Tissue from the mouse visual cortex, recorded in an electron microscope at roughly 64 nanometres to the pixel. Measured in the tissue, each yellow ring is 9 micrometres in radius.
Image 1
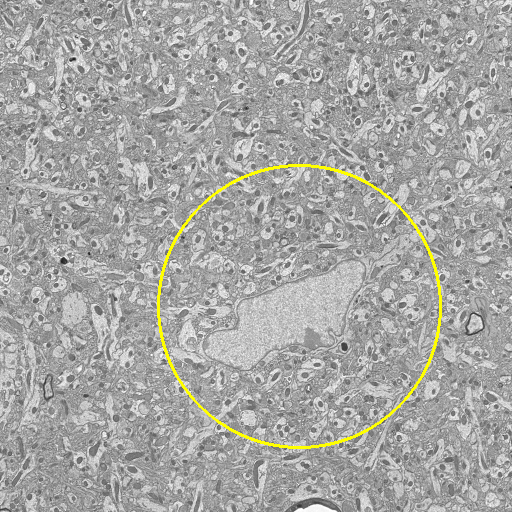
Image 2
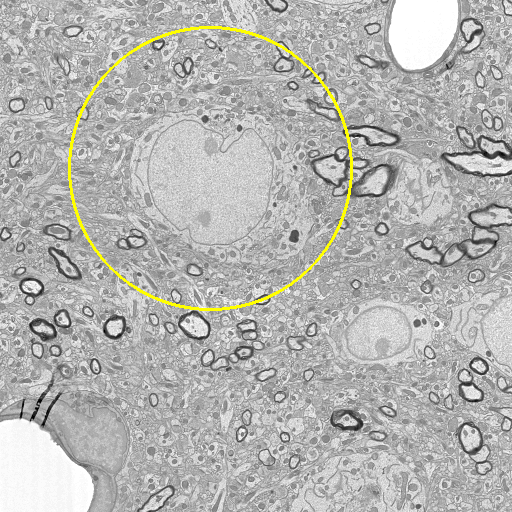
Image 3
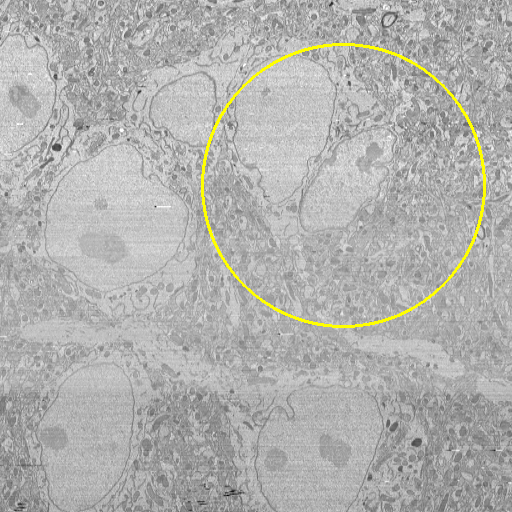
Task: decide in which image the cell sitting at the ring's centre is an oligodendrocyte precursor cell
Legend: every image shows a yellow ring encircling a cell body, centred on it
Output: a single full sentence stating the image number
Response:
In image 3, the cell at the middle of the ring is the match.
